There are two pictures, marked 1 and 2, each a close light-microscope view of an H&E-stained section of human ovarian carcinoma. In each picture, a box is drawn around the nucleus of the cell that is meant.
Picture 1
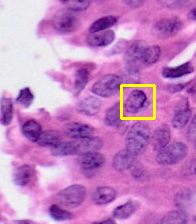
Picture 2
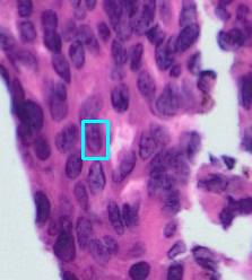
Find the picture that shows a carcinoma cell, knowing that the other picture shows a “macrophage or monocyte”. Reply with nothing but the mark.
2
